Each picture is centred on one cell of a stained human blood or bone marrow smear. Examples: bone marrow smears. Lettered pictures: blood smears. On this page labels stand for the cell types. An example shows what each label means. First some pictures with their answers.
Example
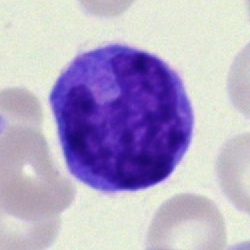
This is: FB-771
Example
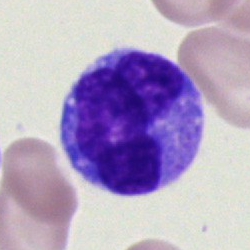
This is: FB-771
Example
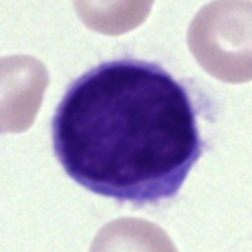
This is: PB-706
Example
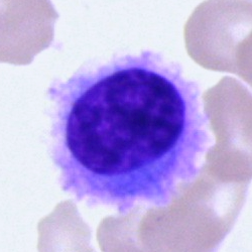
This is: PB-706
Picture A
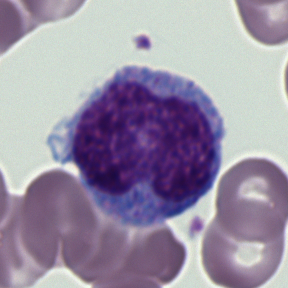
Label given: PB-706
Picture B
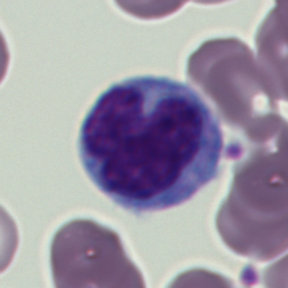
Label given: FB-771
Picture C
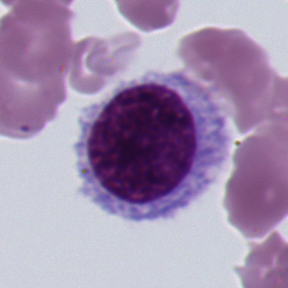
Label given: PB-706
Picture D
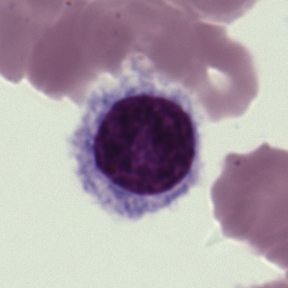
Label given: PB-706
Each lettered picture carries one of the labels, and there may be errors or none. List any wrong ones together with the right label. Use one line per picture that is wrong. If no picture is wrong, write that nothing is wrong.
A: change PB-706 to FB-771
